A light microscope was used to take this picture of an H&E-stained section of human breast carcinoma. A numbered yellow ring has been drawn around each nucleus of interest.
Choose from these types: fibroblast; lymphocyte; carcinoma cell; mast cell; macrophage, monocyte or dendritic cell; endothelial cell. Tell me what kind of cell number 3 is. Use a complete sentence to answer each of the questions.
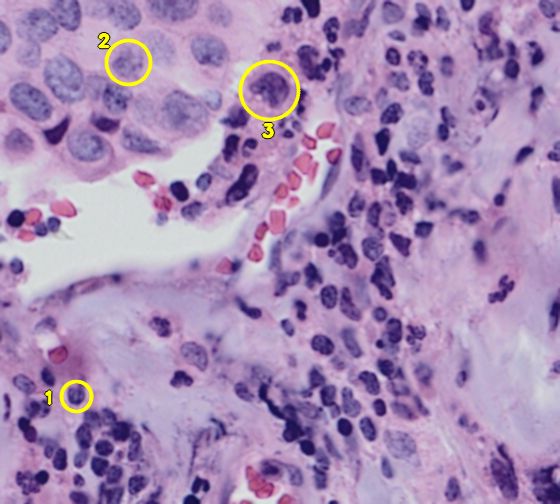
The cell identified by number 3 is a carcinoma cell.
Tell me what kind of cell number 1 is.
As for number 1, that cell is a lymphocyte.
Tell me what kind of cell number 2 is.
The cell to which the number 2 is assigned is a carcinoma cell.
